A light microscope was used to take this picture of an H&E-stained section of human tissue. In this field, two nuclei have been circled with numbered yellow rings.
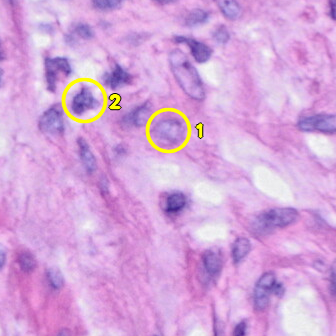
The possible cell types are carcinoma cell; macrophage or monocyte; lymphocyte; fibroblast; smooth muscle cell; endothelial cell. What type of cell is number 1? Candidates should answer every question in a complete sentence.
The cell numbered 1 has been identified as a fibroblast.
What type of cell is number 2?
The cell numbered 2 represents a macrophage or monocyte.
